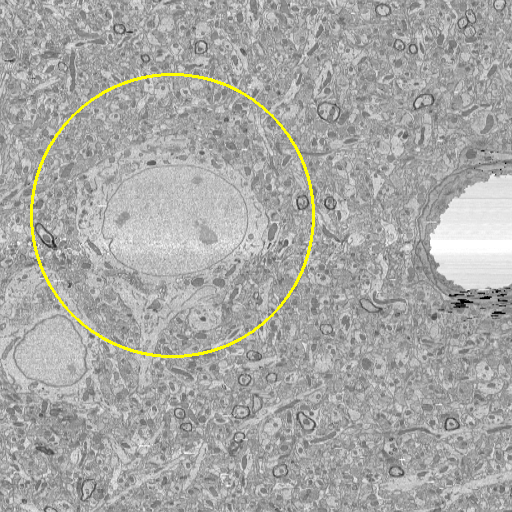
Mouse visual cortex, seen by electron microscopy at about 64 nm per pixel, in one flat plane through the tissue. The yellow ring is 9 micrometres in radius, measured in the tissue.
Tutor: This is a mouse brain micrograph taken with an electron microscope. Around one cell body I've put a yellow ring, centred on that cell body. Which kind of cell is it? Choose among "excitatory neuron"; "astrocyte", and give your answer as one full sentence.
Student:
Going by your list, the cell centred in the yellow ring is an excitatory neuron.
